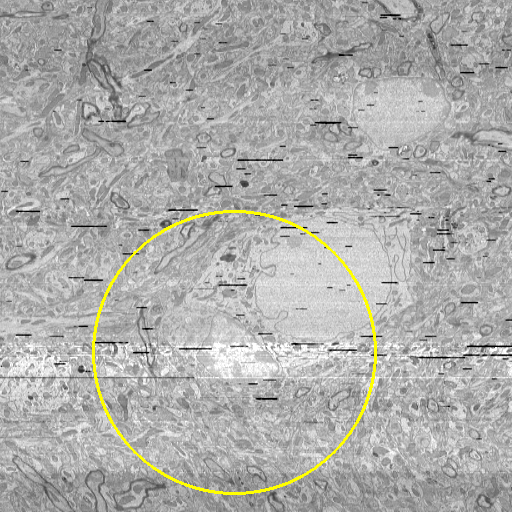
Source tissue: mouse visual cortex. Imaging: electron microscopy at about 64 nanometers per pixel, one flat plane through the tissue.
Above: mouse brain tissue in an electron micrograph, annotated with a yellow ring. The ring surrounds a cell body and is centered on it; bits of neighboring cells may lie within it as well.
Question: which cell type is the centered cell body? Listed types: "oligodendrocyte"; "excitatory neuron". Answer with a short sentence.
The centered cell body is an oligodendrocyte.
